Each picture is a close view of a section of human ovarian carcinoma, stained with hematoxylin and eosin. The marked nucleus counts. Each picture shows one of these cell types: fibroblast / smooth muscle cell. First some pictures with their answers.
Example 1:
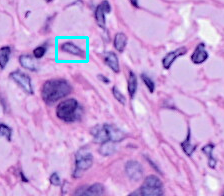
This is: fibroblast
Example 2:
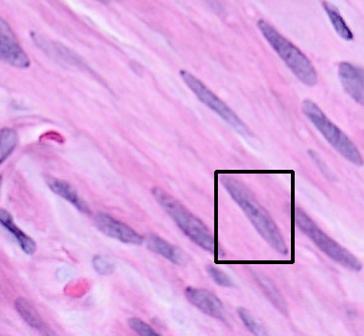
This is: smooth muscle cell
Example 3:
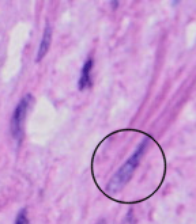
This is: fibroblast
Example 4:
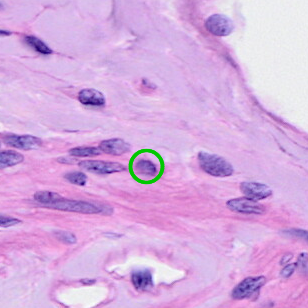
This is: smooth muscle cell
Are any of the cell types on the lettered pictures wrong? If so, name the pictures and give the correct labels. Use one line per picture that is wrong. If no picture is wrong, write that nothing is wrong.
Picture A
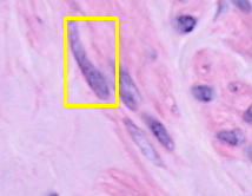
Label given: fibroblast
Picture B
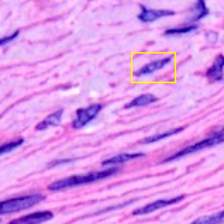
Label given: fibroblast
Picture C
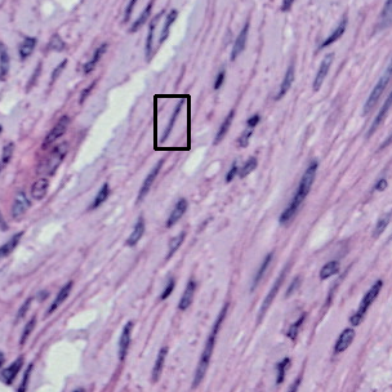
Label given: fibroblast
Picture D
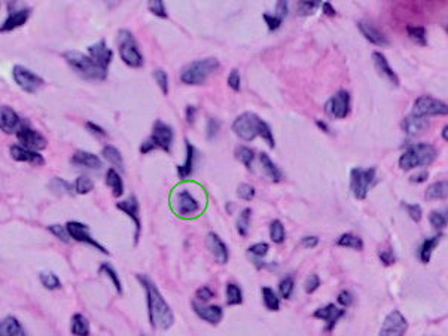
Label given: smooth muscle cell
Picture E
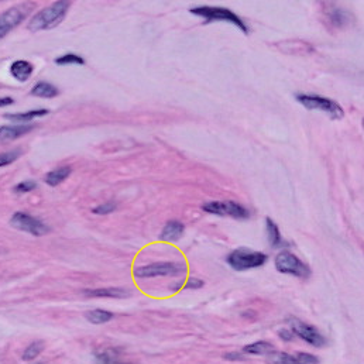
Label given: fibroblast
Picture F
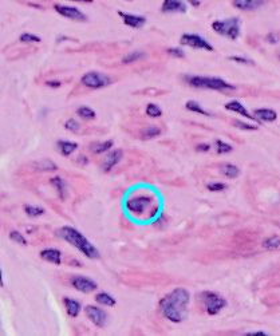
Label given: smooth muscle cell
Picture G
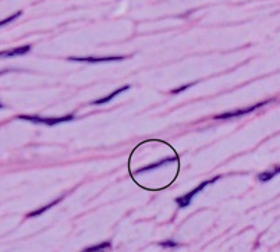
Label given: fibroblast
A: not fibroblast but smooth muscle cell
E: not fibroblast but smooth muscle cell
